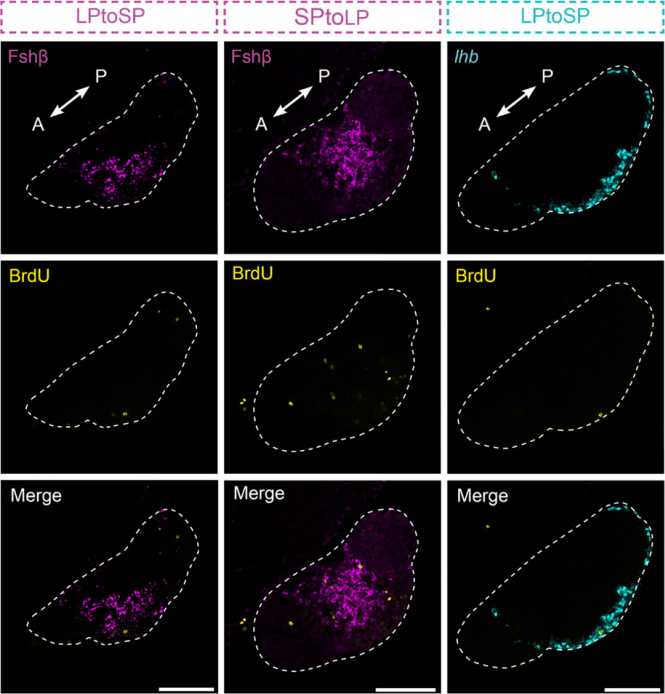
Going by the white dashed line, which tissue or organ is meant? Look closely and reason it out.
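Pituitary. Clusters of labelled cells lie inside the outlined organ.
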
